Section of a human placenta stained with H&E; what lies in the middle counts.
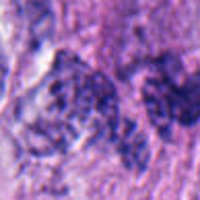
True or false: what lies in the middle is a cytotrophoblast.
True.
